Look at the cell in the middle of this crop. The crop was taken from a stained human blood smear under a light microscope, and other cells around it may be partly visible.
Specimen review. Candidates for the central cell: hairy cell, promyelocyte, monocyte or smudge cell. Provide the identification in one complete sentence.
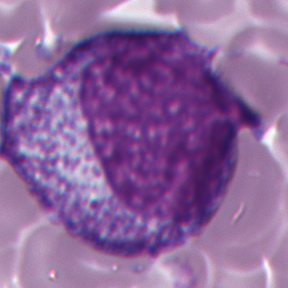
The cell shown in the center of this light-microscope crop is a promyelocyte.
